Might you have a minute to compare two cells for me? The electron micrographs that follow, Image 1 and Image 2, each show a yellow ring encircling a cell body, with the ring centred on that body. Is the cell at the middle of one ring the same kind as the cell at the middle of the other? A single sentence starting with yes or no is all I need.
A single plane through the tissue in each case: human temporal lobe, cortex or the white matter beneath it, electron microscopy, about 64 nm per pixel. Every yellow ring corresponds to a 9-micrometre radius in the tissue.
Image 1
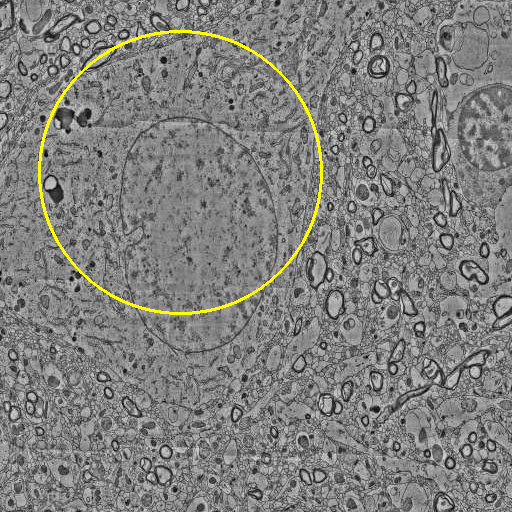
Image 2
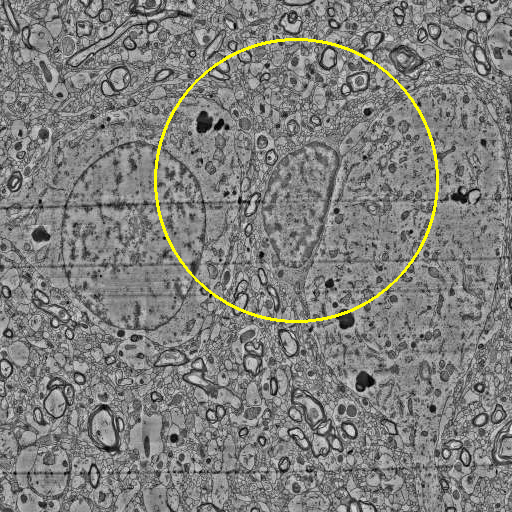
No, the cells in the middle of the two rings are of two separate kinds.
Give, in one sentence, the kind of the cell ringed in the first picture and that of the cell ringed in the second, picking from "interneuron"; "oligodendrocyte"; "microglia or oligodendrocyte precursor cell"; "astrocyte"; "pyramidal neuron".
For the first picture it is a pyramidal neuron; for the second, an oligodendrocyte.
